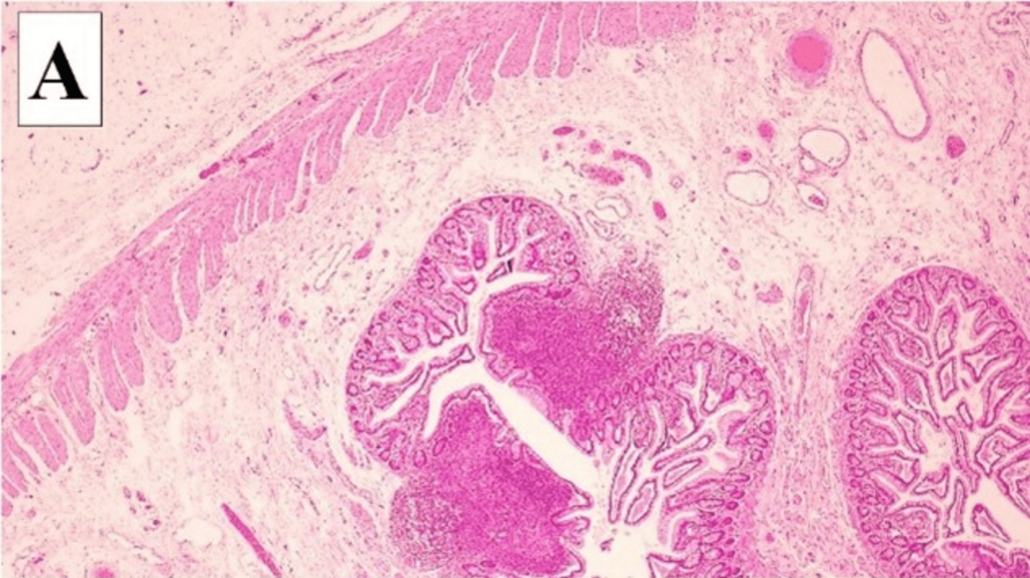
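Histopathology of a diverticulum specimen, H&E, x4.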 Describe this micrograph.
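At low power the wall of the small bowel shows its layers: mucosa, submucosa and muscular layer. The mucosa forms branching folds of villi lined by columnar epithelium, with dark-purple lymphoid aggregates lying in it. Beneath lies pale, loose submucosa containing thin-walled vessels, and along the upper left runs a band of pink smooth muscle.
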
